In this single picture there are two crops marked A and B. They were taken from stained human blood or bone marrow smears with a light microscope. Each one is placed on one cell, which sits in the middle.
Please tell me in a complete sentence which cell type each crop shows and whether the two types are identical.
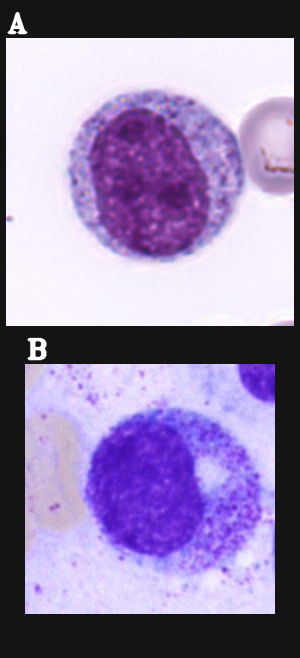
No, crop A has a myelocyte at its center, and crop B has a promyelocyte.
